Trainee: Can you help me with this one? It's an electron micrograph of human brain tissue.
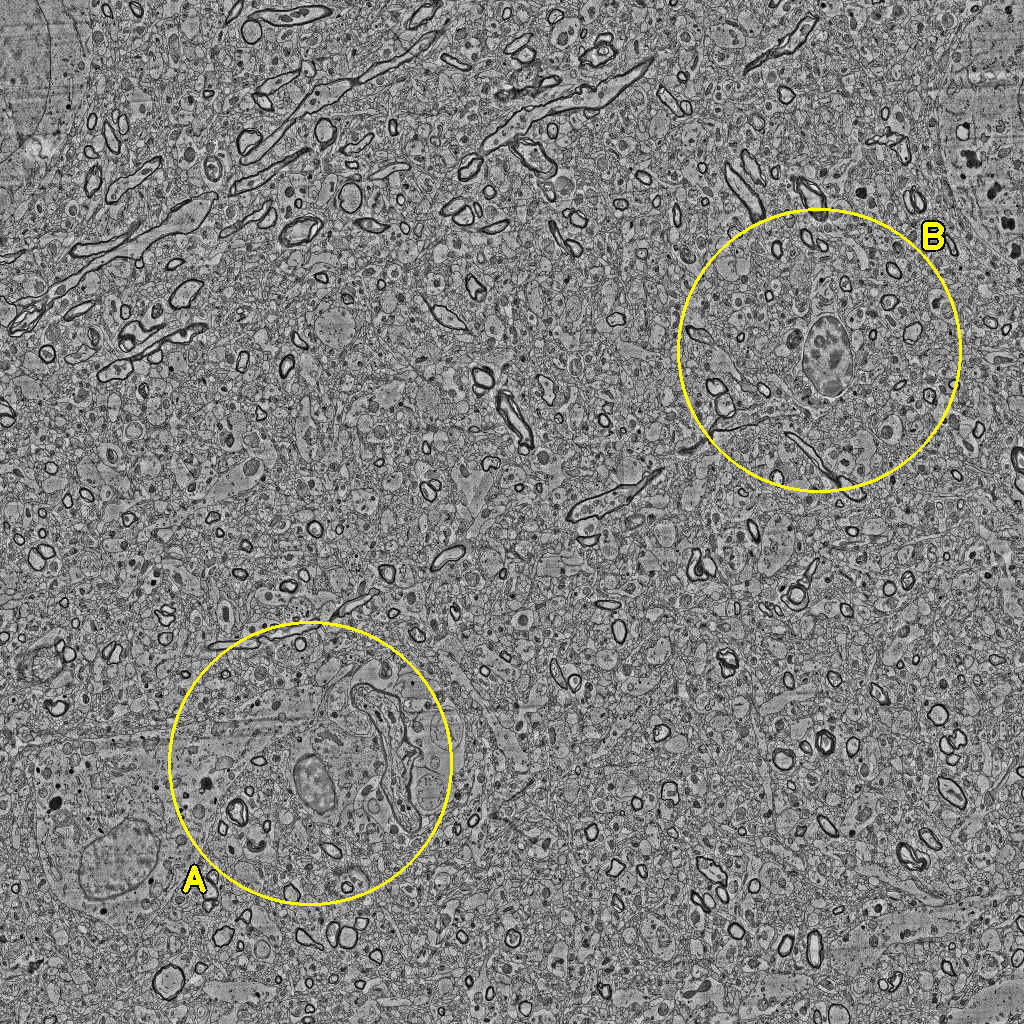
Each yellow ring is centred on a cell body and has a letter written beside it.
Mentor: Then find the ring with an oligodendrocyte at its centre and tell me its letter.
A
